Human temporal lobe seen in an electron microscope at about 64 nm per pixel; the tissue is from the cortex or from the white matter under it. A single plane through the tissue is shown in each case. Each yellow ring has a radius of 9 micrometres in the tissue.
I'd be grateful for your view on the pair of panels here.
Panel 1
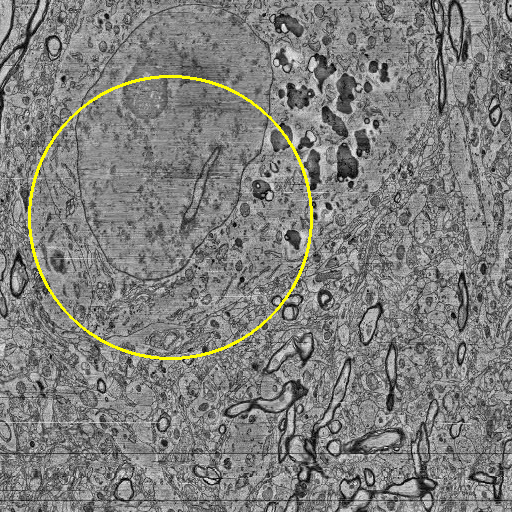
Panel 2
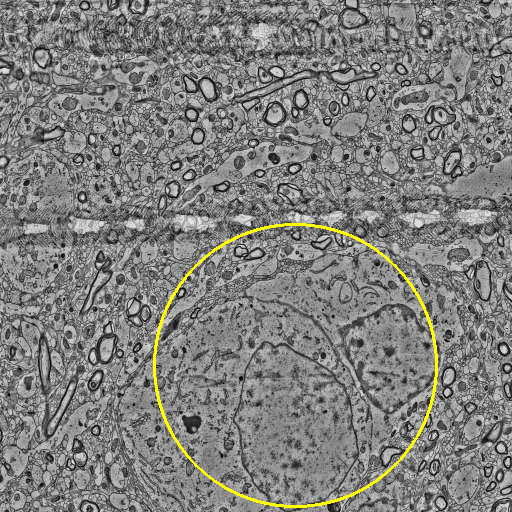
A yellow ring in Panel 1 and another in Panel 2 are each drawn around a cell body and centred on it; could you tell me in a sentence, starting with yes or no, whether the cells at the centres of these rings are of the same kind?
Yes, they are the same kind of cell.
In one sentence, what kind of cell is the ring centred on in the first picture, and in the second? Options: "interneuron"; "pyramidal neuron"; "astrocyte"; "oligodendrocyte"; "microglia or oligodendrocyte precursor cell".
The second cell is a pyramidal neuron, just as the first is.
